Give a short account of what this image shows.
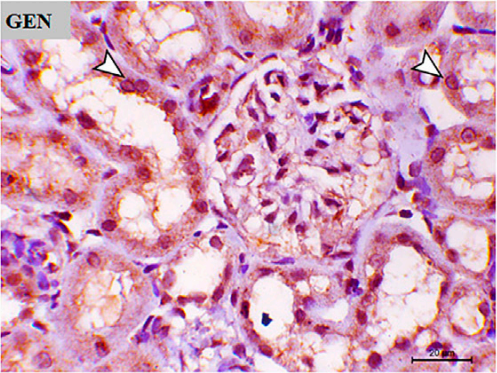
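This is renal cortex with a glomerulus in the centre, surrounded by cross-sectioned renal tubules lined by a single layer of epithelial cells. The tubular epithelial cells are strongly stained brown, both in their cytoplasm and in many of their nuclei.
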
